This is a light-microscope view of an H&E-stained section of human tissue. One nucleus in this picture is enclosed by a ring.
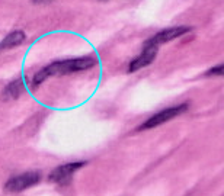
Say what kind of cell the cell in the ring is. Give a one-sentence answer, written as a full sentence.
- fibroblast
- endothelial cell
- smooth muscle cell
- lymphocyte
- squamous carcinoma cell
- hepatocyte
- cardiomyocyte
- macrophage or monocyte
The cell type represented by the cell in the ring is that of a fibroblast.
